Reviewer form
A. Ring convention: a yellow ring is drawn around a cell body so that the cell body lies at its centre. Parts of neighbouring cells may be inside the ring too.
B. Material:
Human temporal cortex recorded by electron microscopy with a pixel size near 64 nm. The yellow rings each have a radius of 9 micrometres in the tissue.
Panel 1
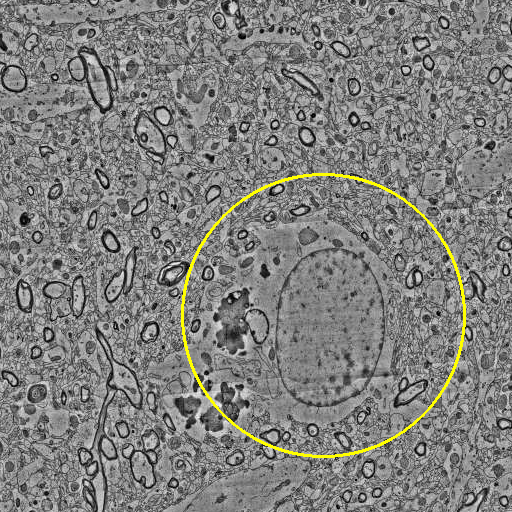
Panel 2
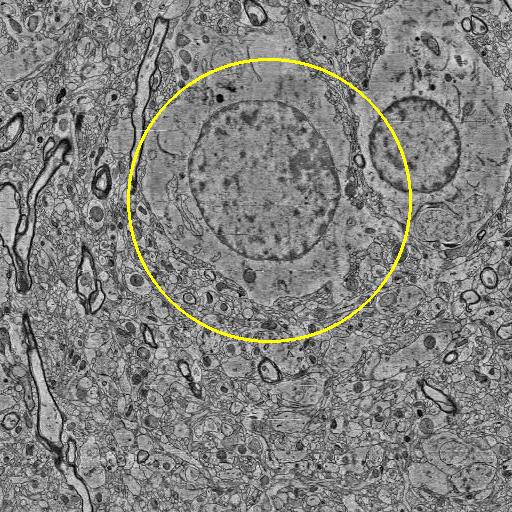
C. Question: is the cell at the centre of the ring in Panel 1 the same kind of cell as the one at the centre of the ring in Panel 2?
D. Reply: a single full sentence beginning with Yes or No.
Yes, the cells in Panel 1 and Panel 2 are the same kind of cell.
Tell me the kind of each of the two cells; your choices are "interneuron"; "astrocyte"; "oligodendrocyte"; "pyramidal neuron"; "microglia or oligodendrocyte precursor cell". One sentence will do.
Both cells are the same kind, each one being an astrocyte.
